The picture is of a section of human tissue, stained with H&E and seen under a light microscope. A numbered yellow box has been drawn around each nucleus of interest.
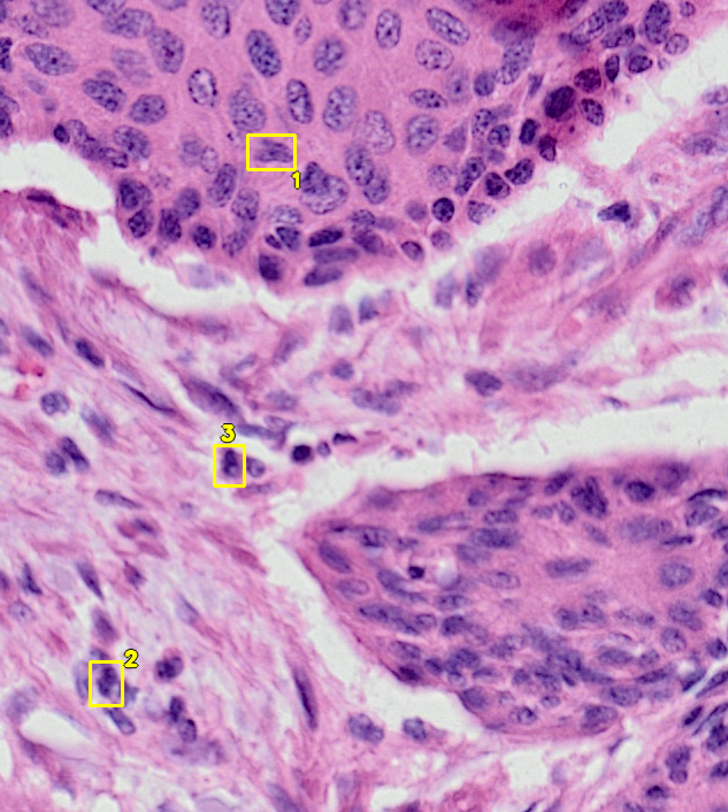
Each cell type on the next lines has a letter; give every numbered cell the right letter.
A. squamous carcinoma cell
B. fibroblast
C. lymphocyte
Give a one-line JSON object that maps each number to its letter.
{"1": "A", "2": "C", "3": "C"}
